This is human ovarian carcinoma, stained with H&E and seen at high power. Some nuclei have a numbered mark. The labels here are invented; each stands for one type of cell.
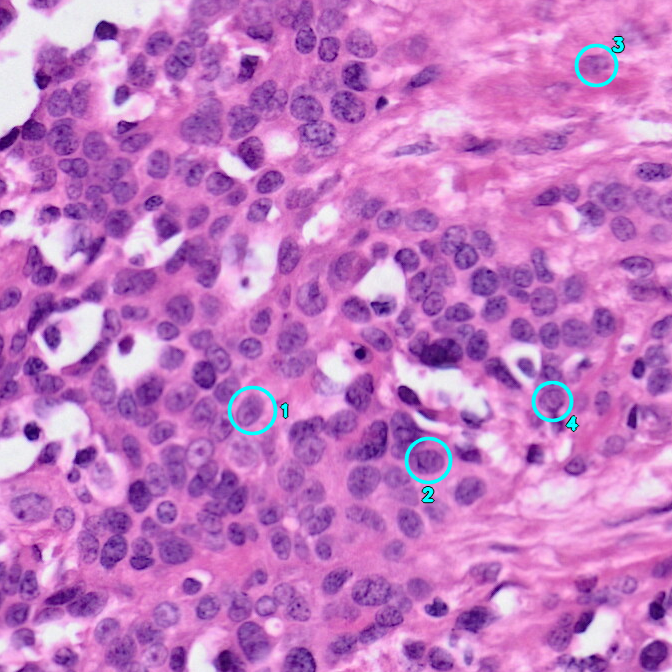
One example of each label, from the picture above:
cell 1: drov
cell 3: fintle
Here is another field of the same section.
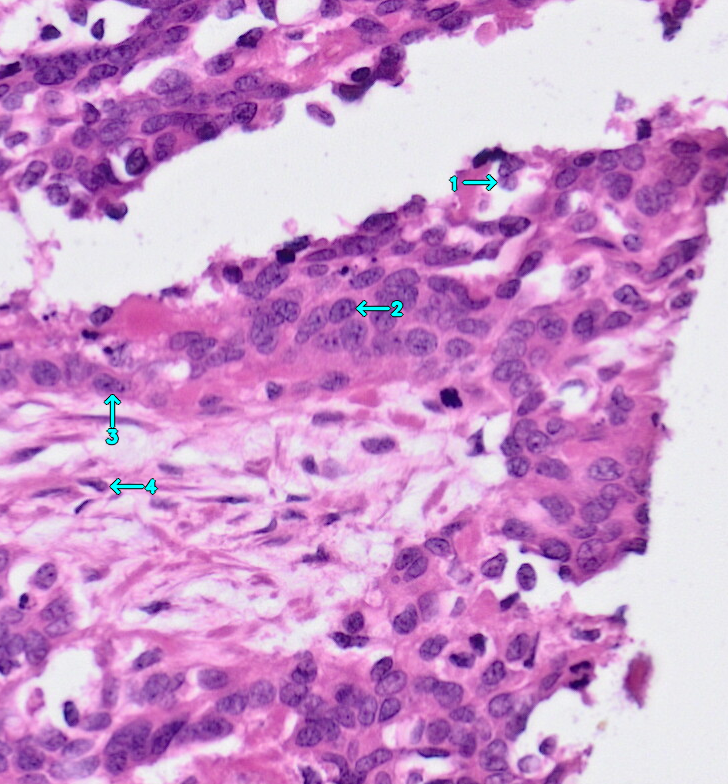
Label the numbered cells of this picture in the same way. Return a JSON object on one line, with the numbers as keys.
{"1": "drov", "2": "drov", "3": "drov", "4": "fintle"}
